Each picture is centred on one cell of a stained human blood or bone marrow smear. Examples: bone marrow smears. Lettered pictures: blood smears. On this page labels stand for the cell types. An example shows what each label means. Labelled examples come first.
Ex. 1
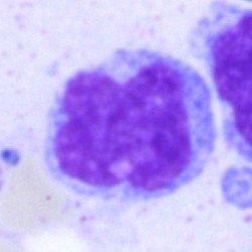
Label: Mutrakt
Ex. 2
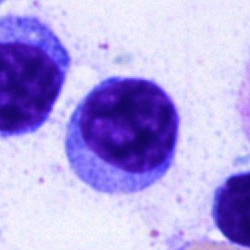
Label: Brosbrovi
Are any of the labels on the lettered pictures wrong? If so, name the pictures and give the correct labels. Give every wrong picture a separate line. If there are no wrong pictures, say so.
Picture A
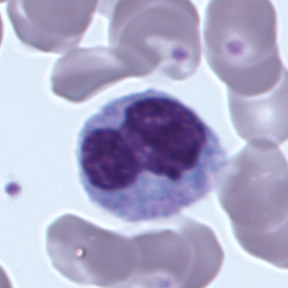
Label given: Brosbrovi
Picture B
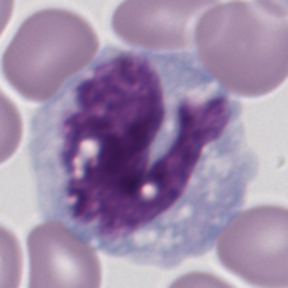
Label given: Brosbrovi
A should be Mutrakt, not Brosbrovi
B should be Mutrakt, not Brosbrovi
